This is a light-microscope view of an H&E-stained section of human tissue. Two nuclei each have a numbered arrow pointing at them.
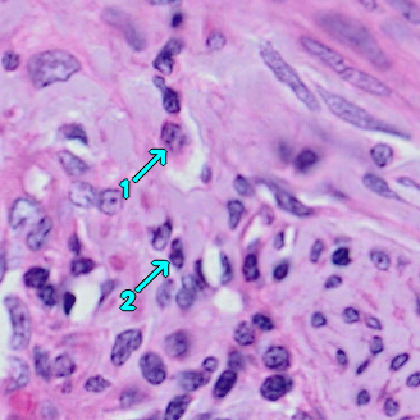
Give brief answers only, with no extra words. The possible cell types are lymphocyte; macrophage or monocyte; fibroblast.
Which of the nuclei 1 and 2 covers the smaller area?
2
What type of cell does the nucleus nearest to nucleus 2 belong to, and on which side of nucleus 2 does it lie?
a macrophage or monocyte above and to the left of nucleus 2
